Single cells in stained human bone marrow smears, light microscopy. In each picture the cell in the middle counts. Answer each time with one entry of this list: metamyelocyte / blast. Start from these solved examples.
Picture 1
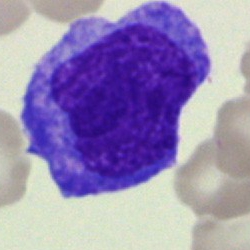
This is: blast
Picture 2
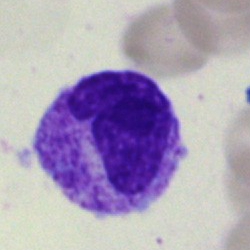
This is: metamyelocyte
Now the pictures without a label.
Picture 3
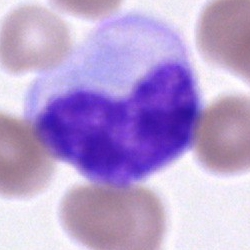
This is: metamyelocyte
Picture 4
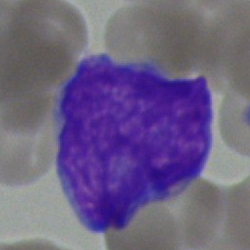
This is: blast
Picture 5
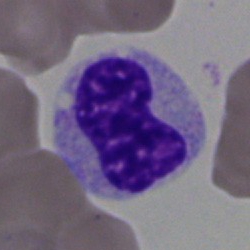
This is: metamyelocyte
